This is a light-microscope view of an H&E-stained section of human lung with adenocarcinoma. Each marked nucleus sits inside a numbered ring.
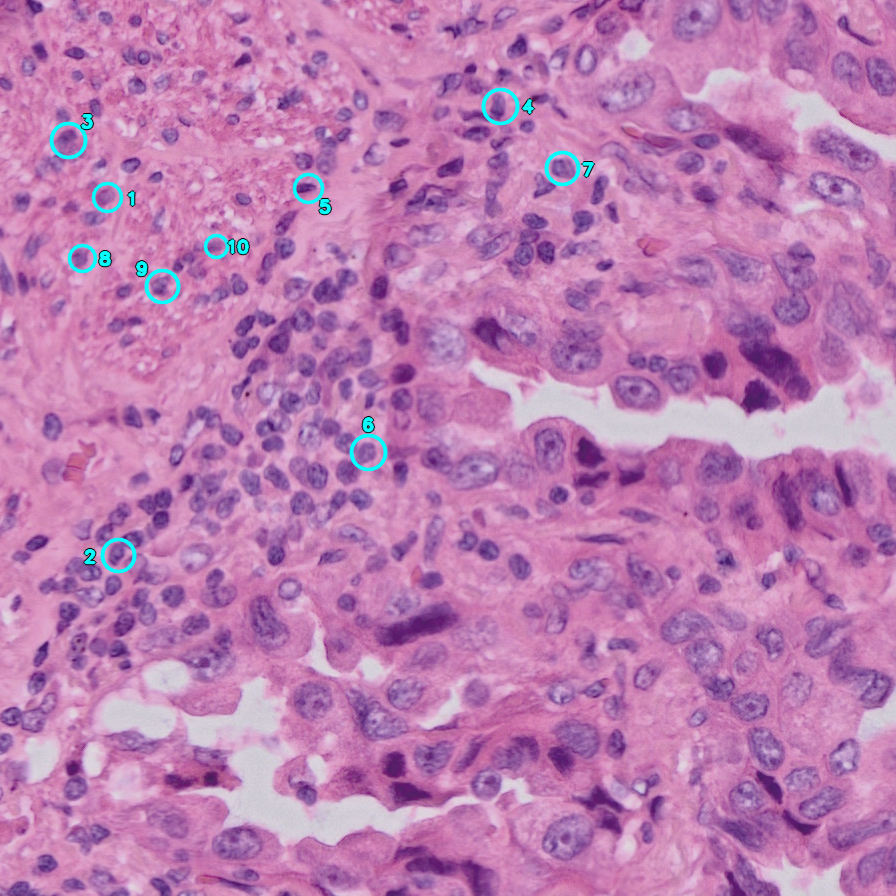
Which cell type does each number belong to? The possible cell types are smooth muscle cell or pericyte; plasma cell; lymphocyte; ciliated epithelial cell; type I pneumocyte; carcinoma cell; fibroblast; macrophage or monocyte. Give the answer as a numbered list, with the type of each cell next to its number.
1. smooth muscle cell or pericyte
2. lymphocyte
3. smooth muscle cell or pericyte
4. lymphocyte
5. smooth muscle cell or pericyte
6. lymphocyte
7. lymphocyte
8. smooth muscle cell or pericyte
9. smooth muscle cell or pericyte
10. smooth muscle cell or pericyte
